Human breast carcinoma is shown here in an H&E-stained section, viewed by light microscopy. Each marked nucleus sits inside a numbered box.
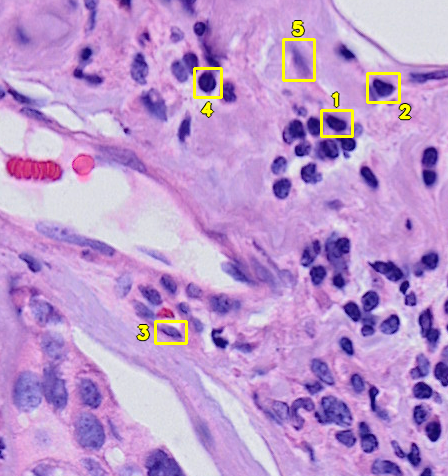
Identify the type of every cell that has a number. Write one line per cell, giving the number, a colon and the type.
1: lymphocyte
2: lymphocyte
3: endothelial cell
4: lymphocyte
5: fibroblast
